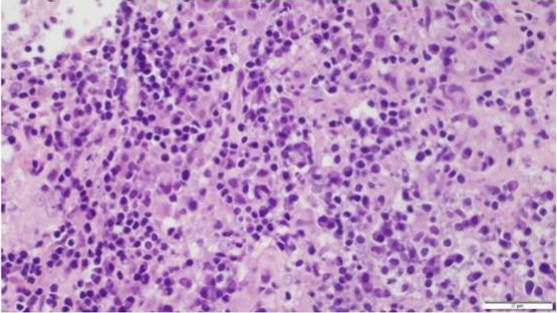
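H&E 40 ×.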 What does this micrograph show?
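This field shows a dense inflammatory infiltrate of lymphocytes and plasma cells set in fibrous stroma. The lymphocytes are small round cells with dark, dense nuclei and very little cytoplasm, packed closely together, especially in the left half. Many of the cells have a round nucleus placed to one side with a rim of pink-purple cytoplasm, the look of plasma cells. Toward the right, the cells are more loosely set in pale pink stroma with some elongated nuclei. A small patch of pink acellular material and empty space lies at the upper left edge.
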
